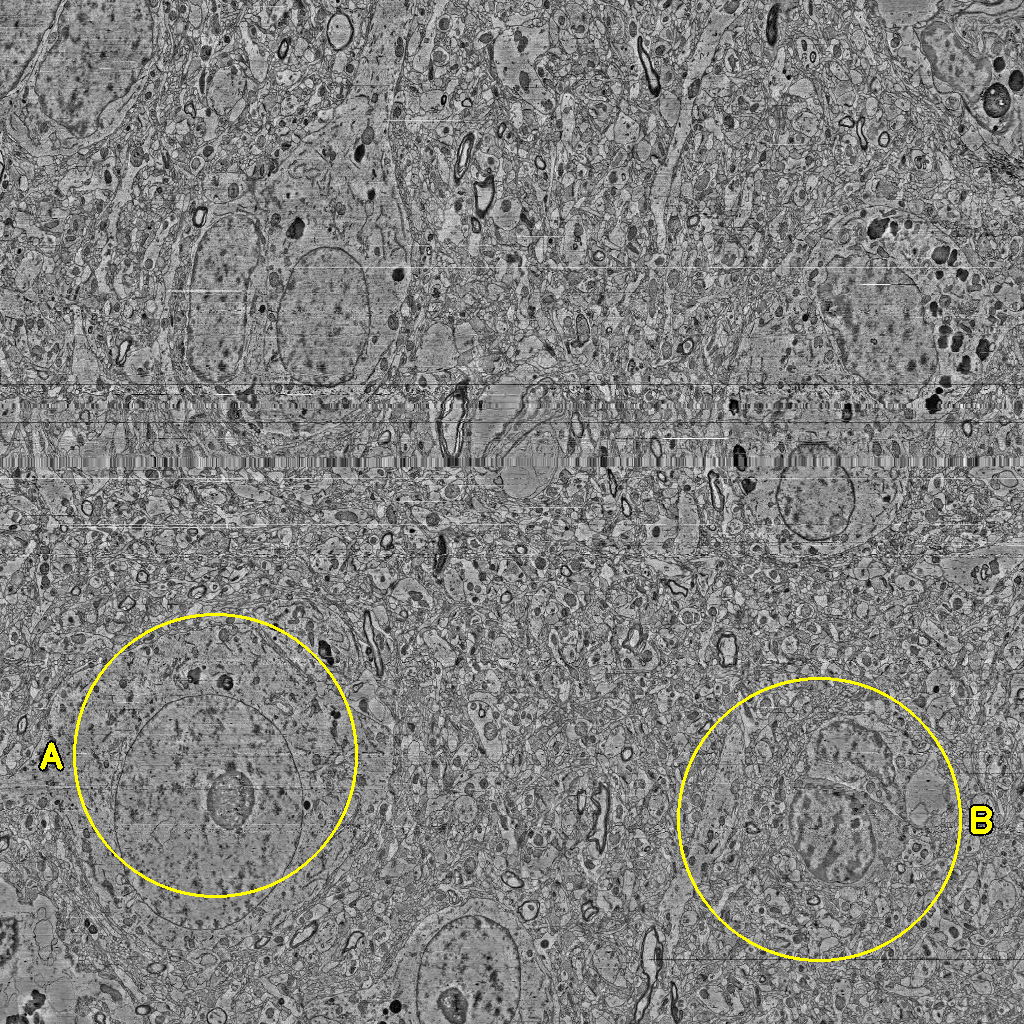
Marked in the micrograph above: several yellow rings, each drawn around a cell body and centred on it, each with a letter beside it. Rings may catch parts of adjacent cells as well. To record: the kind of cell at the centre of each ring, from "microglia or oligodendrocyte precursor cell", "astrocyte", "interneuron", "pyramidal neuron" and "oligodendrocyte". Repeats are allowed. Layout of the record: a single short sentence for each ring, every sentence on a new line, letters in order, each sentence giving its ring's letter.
At the centre of ring A lies a pyramidal neuron.
At the centre of ring B lies an oligodendrocyte.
